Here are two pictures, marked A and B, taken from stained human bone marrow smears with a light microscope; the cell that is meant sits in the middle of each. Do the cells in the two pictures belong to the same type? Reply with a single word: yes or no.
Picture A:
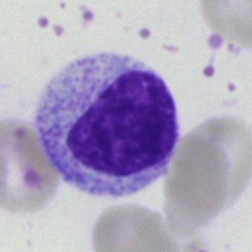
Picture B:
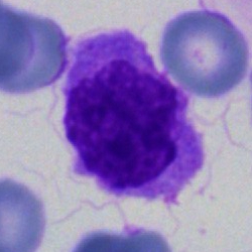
no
